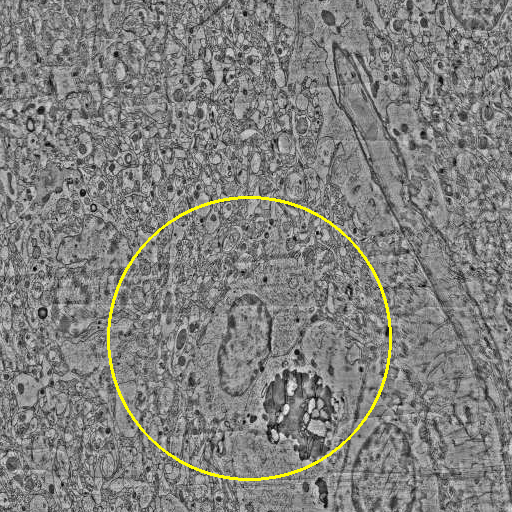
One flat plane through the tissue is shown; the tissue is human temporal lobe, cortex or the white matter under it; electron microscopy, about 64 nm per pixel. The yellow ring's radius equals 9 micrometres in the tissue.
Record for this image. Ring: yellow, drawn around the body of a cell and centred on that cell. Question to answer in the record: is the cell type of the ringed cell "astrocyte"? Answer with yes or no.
yes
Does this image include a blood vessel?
Yes, there is a blood vessel in the image.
